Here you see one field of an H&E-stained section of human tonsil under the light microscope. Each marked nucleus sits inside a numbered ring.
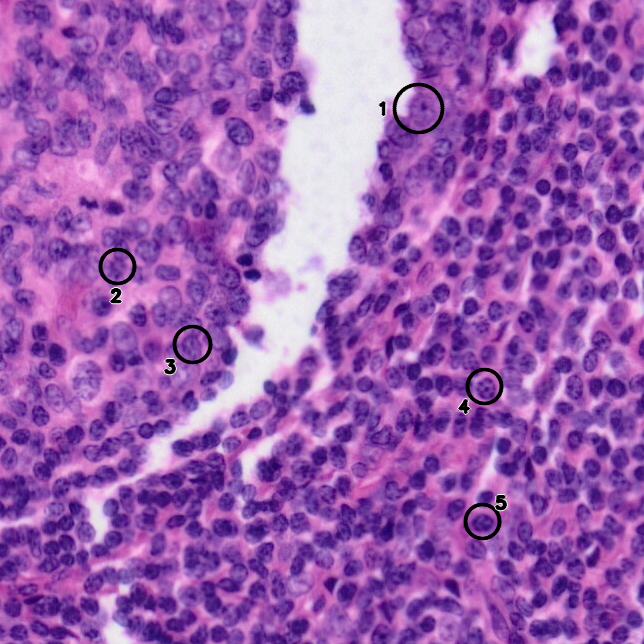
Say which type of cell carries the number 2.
proliferating B cell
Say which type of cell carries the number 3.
proliferating B cell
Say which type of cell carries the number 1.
proliferating B cell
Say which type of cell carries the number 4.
plasma cell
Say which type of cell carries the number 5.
plasma cell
